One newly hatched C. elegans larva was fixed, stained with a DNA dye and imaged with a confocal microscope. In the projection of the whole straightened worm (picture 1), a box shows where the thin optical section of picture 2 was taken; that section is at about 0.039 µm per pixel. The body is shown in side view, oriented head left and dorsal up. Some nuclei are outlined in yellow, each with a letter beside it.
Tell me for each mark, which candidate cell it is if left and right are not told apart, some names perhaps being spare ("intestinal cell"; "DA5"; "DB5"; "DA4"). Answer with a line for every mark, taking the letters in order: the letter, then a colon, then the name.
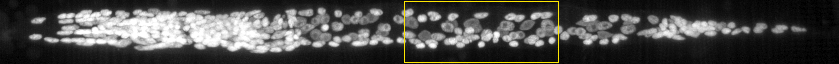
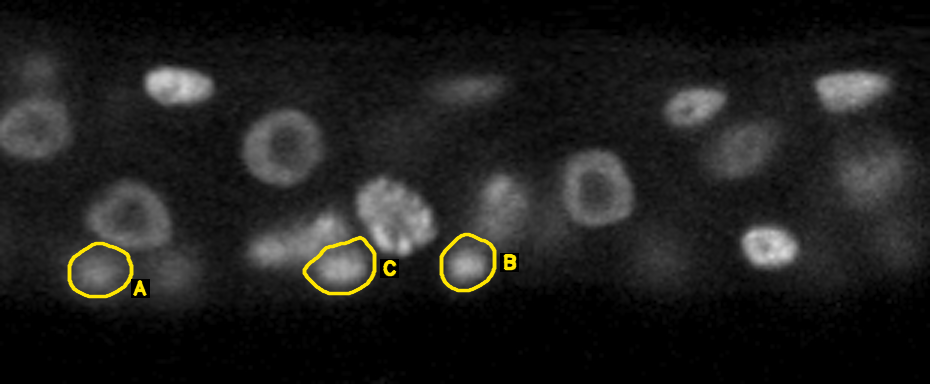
A: DA4
B: DA5
C: DB5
